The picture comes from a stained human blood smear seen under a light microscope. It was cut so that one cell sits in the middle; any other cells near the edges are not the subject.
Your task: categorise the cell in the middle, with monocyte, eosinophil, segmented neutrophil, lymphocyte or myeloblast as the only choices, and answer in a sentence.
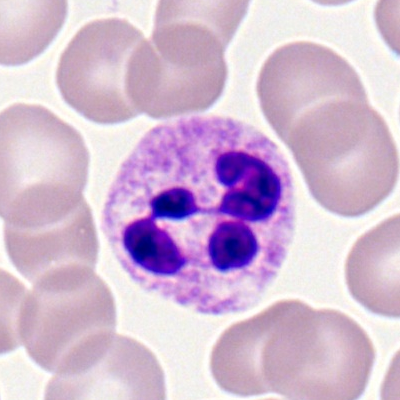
This particular crop is centered on a segmented neutrophil.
